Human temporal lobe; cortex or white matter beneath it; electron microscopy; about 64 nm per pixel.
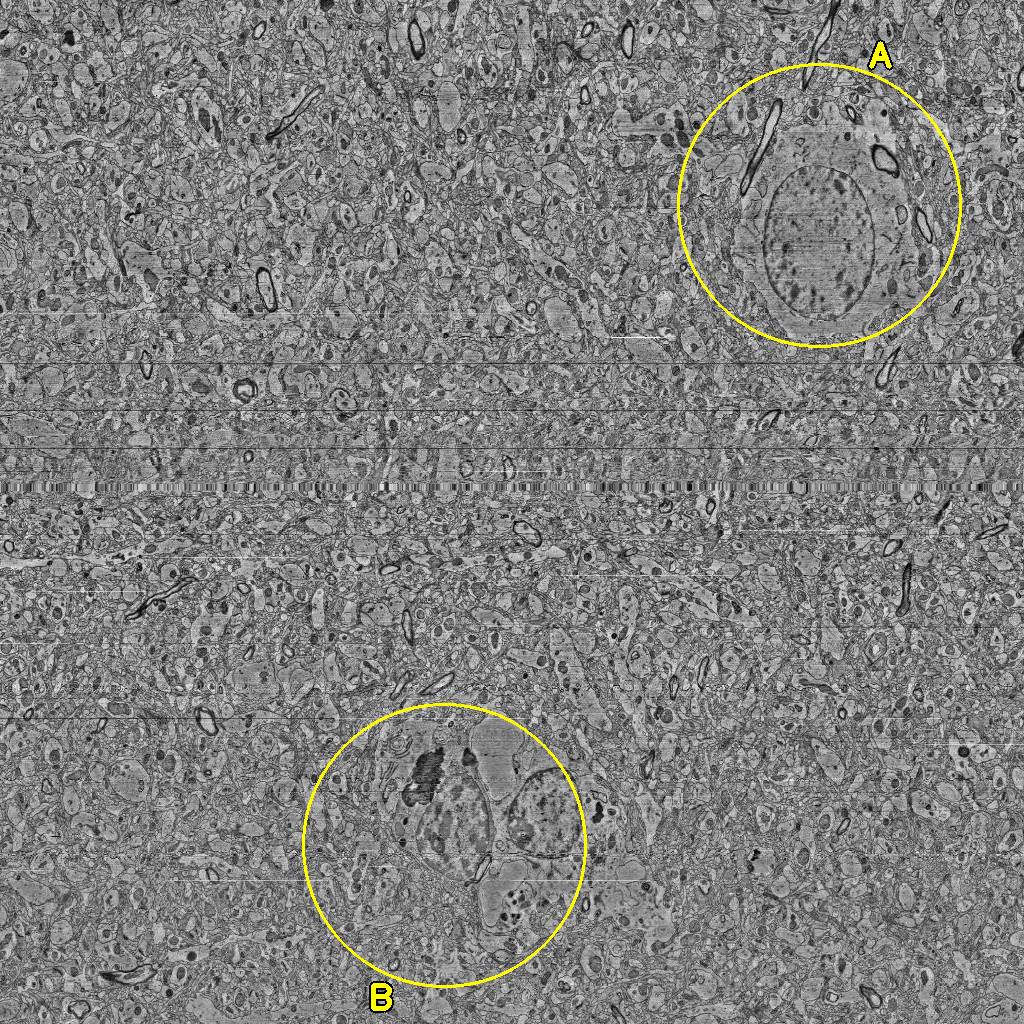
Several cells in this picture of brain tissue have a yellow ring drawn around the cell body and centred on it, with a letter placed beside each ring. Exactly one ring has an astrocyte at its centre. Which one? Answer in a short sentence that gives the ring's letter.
Ring A is centred on it.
